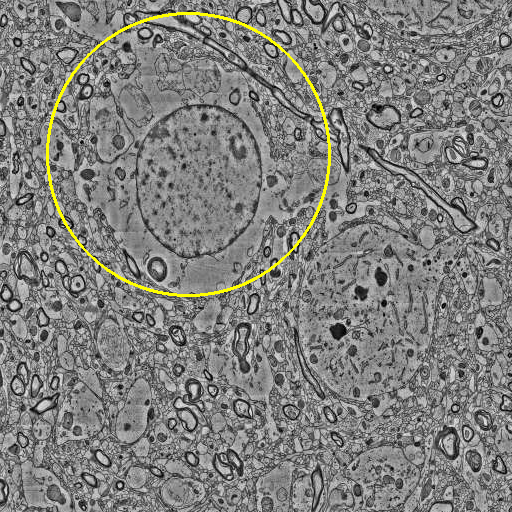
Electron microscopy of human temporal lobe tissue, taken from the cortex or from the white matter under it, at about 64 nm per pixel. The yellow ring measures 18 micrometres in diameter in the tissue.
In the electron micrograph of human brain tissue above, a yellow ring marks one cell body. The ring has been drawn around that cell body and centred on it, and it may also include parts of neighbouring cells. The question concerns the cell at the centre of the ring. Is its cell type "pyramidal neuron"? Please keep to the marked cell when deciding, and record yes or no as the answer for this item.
no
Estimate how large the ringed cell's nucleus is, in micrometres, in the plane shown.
In this plane, the nucleus of the cell at the centre of the ring measures about 10 by 8 micrometres.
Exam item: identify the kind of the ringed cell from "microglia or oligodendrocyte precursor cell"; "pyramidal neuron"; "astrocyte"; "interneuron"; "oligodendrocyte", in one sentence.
Instead, the ringed cell here is an astrocyte.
